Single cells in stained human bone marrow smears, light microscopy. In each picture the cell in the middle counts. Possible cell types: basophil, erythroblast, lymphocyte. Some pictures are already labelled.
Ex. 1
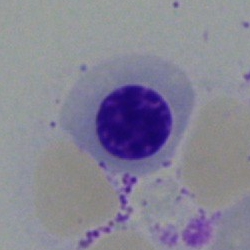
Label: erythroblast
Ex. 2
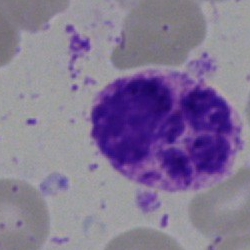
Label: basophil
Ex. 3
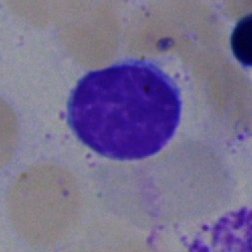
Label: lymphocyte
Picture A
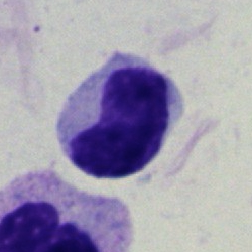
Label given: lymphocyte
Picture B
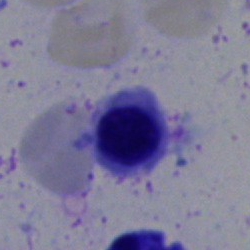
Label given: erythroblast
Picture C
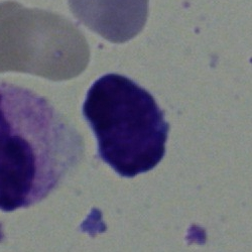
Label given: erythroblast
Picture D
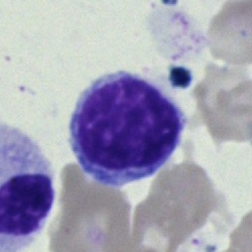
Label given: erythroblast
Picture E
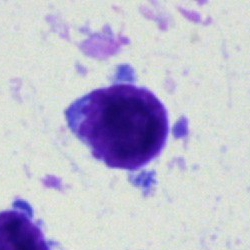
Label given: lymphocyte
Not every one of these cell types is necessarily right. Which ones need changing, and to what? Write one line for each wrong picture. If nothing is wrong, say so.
Wrong: C (erythroblast); correct: lymphocyte
Wrong: D (erythroblast); correct: lymphocyte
